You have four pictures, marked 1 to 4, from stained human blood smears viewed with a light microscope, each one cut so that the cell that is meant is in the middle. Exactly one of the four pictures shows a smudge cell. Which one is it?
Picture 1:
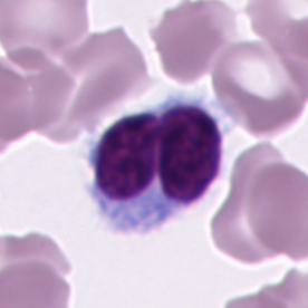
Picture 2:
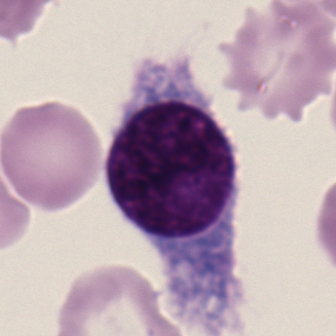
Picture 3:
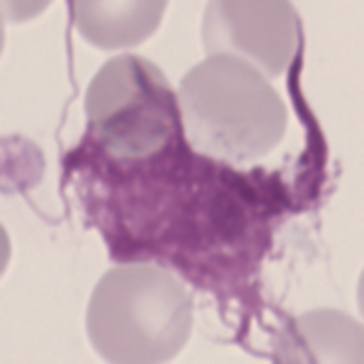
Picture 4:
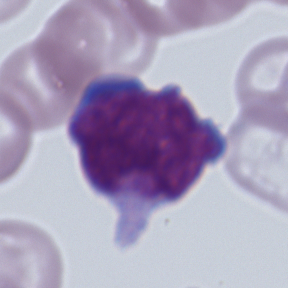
3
